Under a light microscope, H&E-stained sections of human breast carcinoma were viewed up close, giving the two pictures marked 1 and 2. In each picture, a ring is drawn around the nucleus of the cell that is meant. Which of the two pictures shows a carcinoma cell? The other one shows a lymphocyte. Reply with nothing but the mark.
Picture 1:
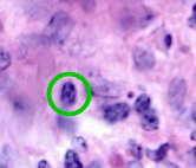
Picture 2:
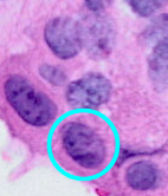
2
